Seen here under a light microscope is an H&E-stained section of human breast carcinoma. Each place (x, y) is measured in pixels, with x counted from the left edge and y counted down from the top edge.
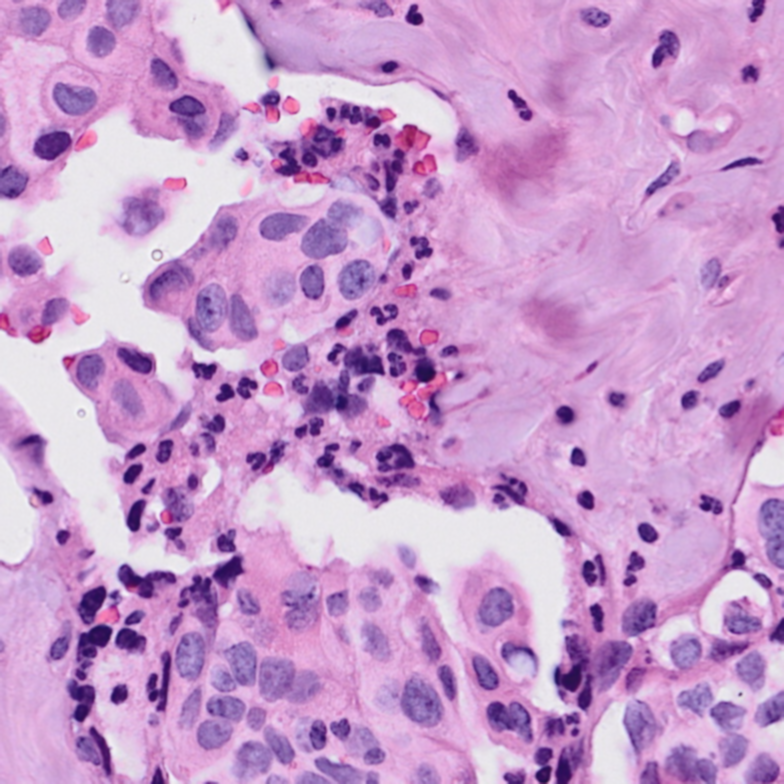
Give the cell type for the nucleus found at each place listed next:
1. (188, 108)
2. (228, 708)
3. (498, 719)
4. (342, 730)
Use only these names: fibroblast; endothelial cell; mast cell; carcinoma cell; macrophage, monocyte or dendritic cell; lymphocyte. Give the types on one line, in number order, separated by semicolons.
carcinoma cell; carcinoma cell; carcinoma cell; lymphocyte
